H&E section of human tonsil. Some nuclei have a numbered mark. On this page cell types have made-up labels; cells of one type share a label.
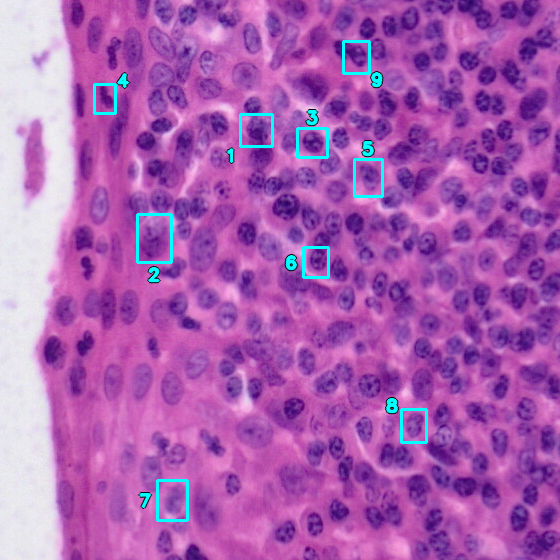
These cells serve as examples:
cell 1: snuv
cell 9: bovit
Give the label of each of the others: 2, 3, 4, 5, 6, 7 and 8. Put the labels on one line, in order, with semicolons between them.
snuv; bovit; snuv; bovit; bovit; snuv; bovit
